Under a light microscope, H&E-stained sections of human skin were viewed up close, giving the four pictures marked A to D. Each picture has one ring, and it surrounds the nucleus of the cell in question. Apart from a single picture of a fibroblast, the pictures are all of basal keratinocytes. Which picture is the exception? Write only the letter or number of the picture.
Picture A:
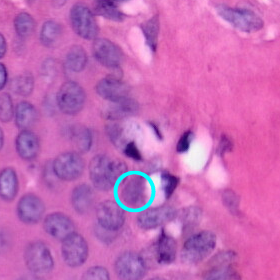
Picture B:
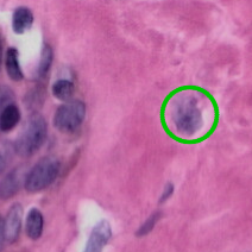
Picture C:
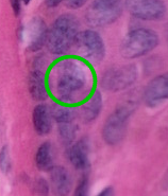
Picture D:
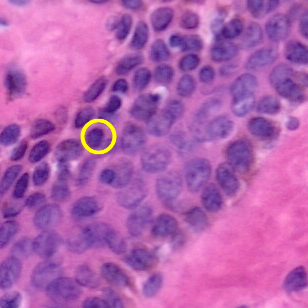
B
